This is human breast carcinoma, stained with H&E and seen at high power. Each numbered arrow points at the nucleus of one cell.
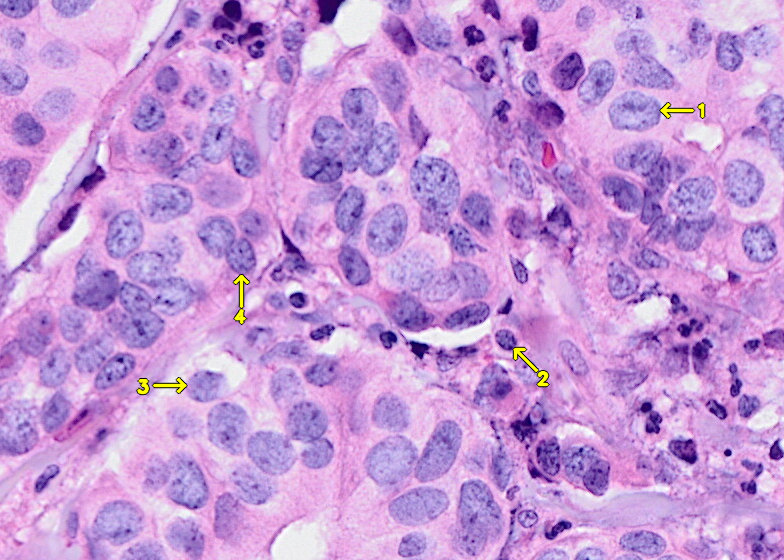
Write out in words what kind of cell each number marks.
Cells 1, 3 and 4 are carcinoma cells. Cell 2 is a mast cell.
